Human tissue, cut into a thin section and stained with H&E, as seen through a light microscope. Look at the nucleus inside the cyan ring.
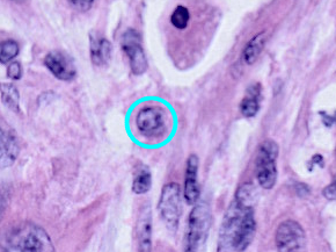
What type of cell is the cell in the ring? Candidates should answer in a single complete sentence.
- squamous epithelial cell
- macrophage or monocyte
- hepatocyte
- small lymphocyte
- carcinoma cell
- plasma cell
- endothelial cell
The classification of the cell in the ring is as a macrophage or monocyte.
